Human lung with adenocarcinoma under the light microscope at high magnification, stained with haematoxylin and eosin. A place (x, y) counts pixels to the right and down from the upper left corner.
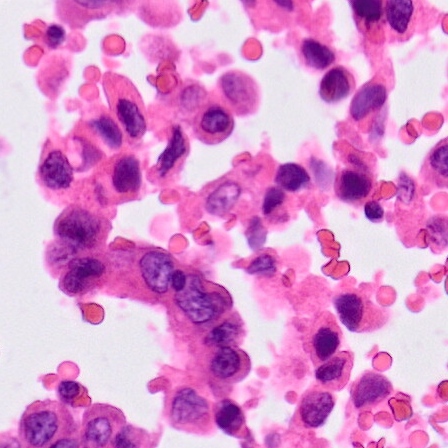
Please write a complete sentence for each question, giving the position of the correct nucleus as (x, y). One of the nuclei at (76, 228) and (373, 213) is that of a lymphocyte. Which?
The nucleus of a lymphocyte is the one at (373, 213).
